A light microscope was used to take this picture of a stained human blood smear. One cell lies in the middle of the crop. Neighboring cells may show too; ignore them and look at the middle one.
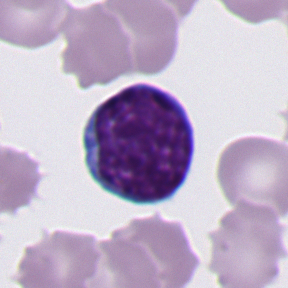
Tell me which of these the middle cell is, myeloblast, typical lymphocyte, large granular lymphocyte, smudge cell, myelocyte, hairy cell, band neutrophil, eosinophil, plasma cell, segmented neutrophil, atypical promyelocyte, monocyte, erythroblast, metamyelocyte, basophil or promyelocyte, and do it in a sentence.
As for the central cell, it is a typical lymphocyte.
